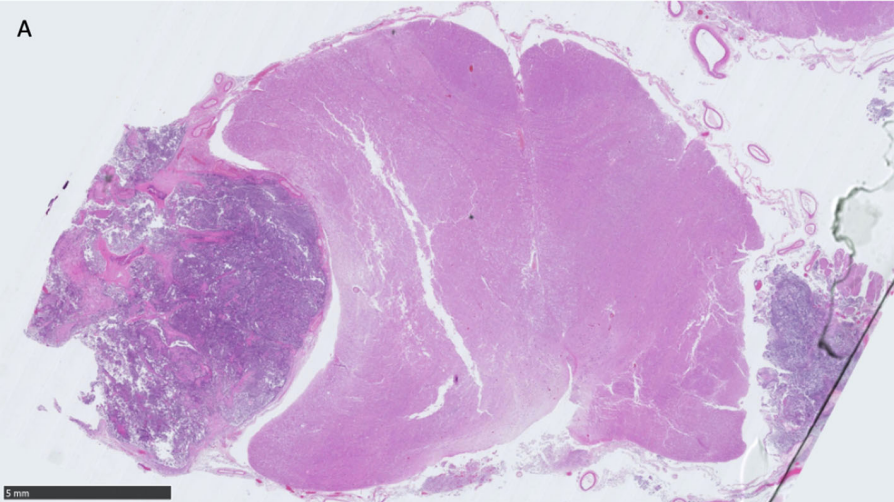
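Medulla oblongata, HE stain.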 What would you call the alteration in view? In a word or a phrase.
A: bilateral well-demarcated neoplastic masses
